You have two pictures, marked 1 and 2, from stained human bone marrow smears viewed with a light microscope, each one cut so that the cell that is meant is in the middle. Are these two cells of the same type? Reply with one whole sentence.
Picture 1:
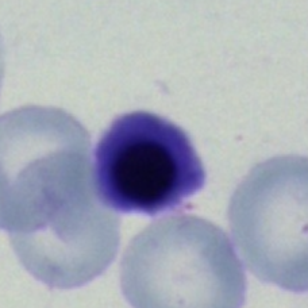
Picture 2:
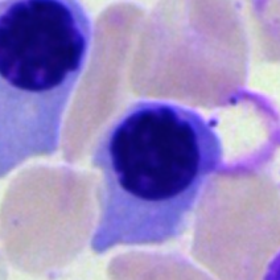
Yes, they are the same type: both are erythroblasts.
